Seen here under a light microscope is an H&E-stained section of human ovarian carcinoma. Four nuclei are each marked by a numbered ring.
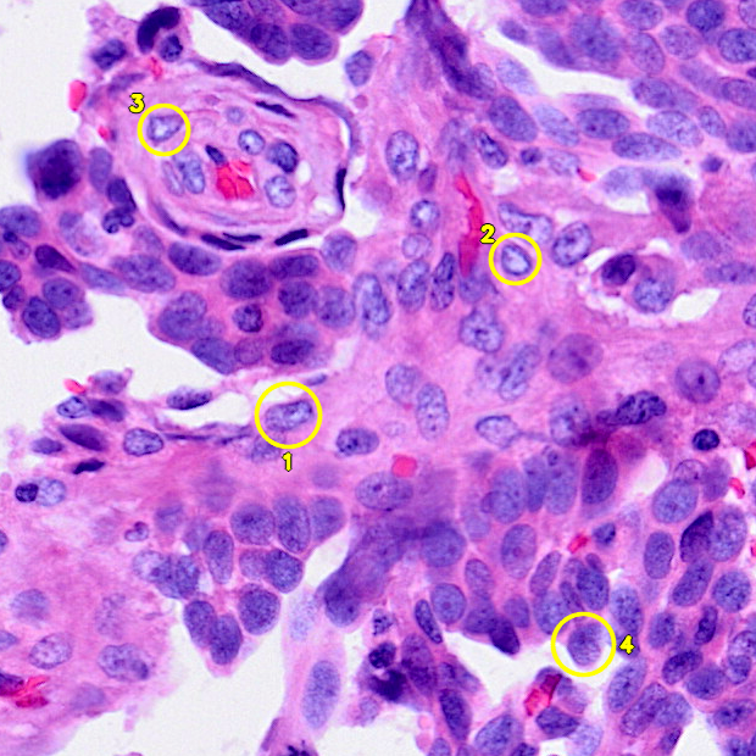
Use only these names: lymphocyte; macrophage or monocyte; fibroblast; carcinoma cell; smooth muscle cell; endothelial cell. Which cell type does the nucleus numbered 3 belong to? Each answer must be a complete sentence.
Number 3 among the marked cells is a fibroblast.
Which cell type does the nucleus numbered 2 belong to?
Among the marked cells, number 2 is a fibroblast.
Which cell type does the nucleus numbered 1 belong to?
Classified as a fibroblast is the cell with the number 1.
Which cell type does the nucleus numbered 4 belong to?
Cell 4 should be recorded as a carcinoma cell.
